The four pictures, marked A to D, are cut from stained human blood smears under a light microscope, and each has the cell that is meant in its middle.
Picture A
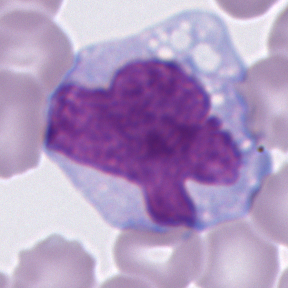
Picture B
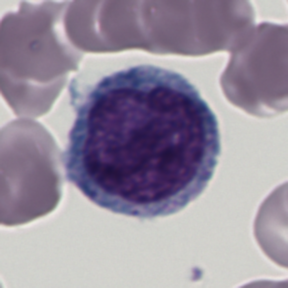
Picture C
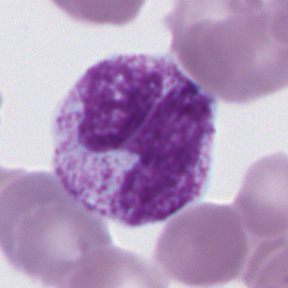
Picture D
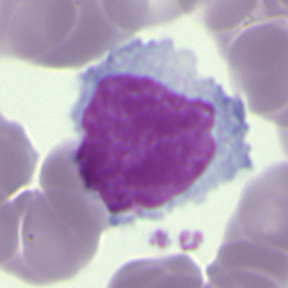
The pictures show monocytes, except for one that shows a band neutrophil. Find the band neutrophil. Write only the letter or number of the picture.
C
